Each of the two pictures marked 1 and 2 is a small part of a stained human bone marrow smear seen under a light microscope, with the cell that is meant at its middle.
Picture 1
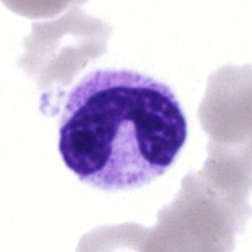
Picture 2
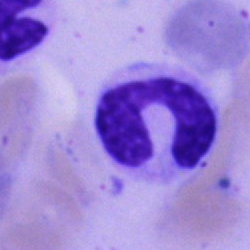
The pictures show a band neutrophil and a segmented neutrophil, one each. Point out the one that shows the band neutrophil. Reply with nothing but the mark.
2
